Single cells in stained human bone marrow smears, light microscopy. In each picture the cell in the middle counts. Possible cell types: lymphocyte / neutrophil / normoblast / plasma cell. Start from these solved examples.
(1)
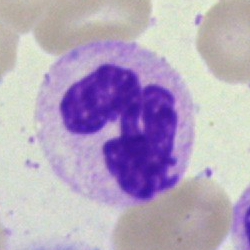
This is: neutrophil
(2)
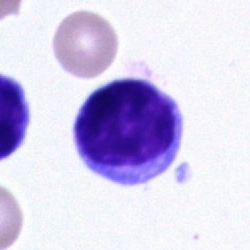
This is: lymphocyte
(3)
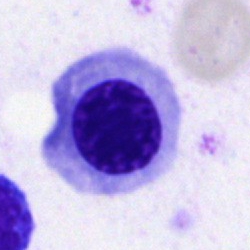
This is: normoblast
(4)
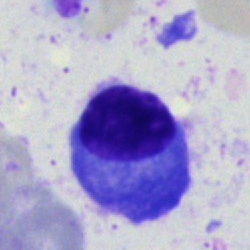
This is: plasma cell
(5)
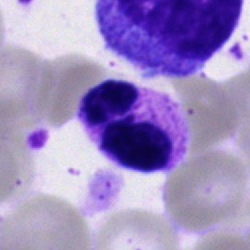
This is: neutrophil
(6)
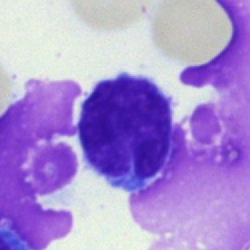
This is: lymphocyte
